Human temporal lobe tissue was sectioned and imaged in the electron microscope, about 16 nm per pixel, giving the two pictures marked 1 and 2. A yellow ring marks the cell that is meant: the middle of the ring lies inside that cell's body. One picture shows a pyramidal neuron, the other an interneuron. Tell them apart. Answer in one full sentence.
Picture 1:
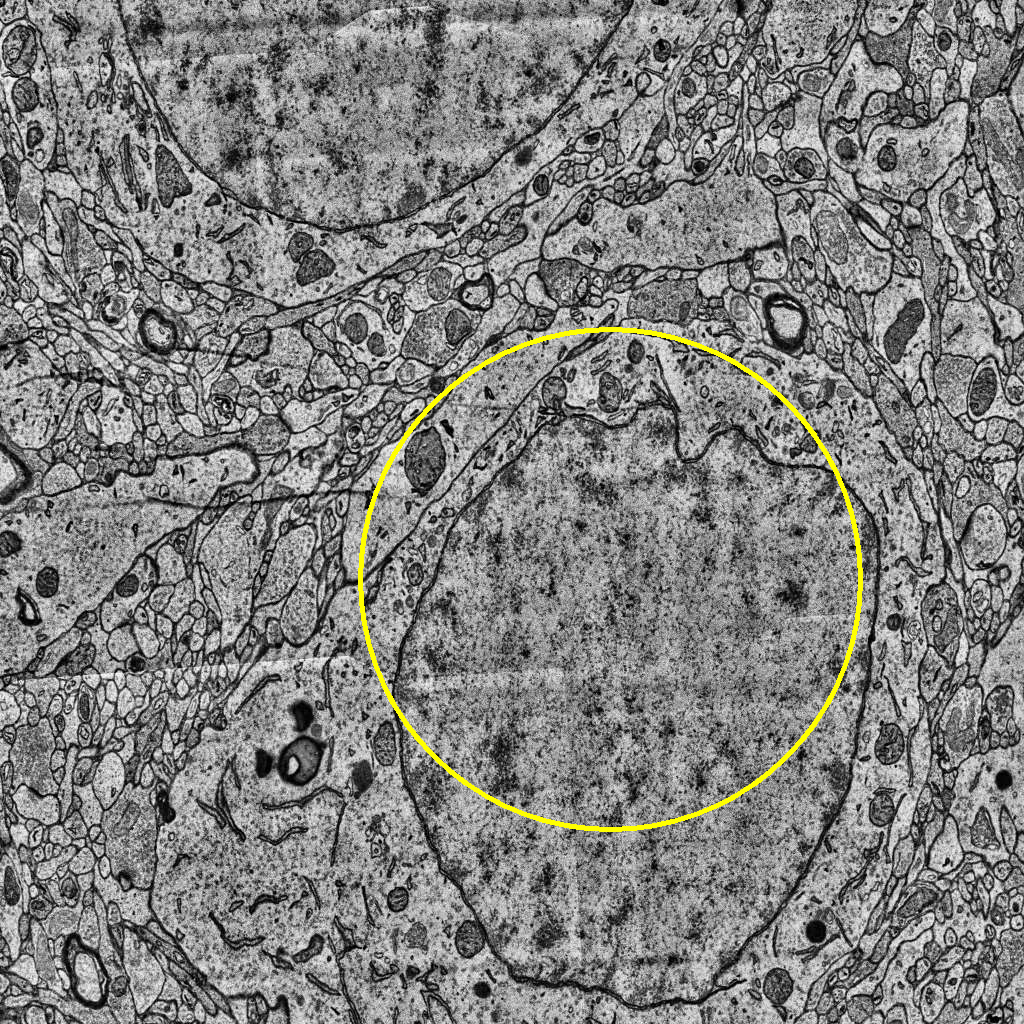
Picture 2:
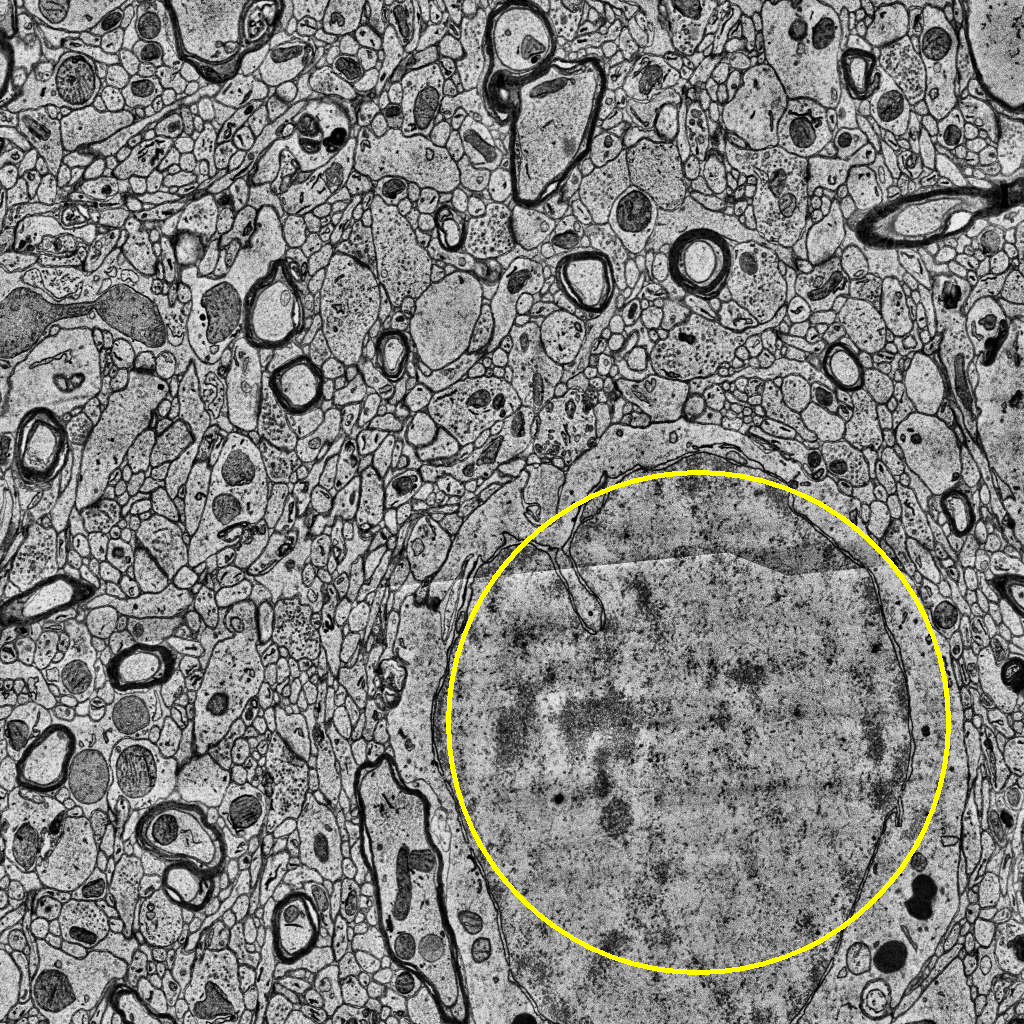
Picture 2 shows an interneuron, while picture 1 shows a pyramidal neuron.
